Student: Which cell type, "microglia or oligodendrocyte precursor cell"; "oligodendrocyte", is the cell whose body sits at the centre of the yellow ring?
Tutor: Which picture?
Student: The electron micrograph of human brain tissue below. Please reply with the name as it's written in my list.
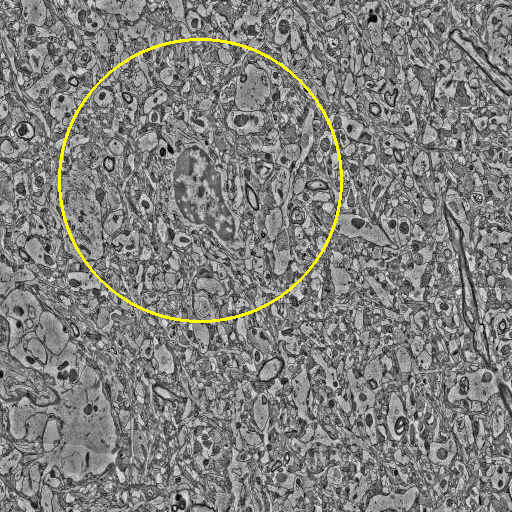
microglia or oligodendrocyte precursor cell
